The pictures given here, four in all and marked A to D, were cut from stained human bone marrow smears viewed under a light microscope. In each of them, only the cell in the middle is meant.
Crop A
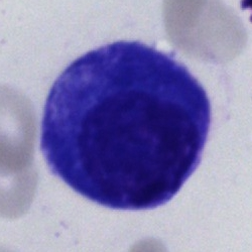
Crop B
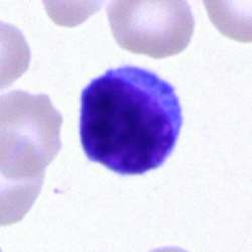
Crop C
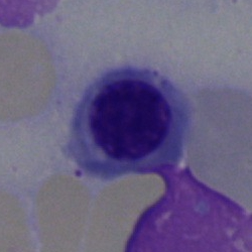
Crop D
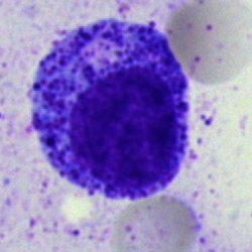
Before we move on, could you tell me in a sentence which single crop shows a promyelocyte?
Of the labelled crops, the one that shows a promyelocyte is crop D.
